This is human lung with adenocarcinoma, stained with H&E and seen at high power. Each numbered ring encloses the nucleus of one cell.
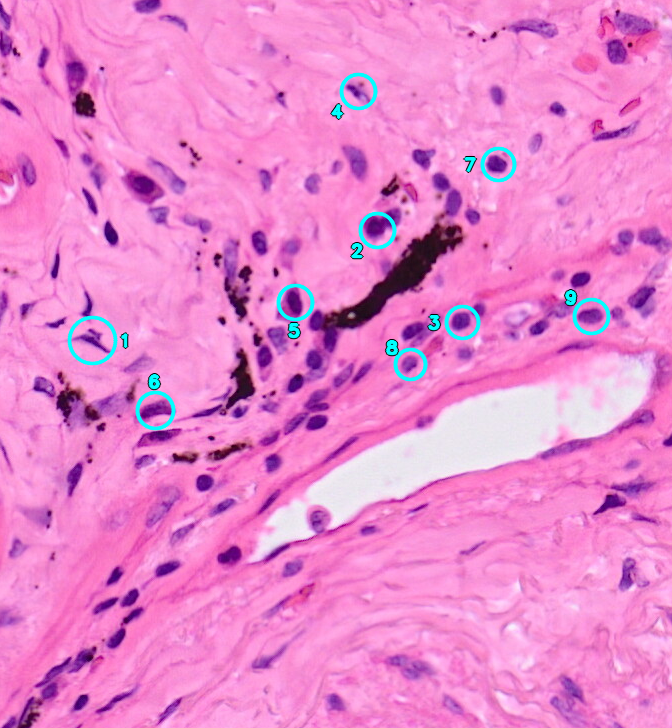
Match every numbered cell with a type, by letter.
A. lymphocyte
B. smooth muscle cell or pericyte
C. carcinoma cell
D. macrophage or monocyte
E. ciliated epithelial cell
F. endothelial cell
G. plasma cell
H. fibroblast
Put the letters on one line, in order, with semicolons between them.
H; G; A; H; G; G; A; A; A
